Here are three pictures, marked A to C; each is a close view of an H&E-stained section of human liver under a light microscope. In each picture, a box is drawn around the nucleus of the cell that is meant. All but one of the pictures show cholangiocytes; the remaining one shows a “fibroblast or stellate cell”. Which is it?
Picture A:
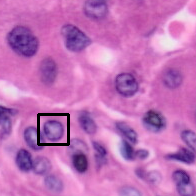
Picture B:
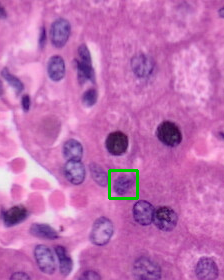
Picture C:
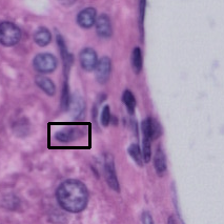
C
